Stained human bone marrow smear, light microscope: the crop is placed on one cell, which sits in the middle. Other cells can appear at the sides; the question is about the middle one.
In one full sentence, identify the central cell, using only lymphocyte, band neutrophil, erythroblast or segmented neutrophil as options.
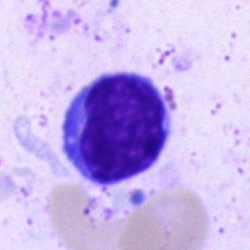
In the central position of this crop, the cell is a lymphocyte.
